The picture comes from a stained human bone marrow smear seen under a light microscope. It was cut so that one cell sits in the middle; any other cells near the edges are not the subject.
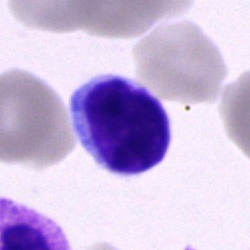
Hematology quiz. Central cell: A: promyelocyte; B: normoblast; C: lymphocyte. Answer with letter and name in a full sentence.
The correct choice is option C, which identifies the middle cell as a lymphocyte.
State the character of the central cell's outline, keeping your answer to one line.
Nothing juts out from the margin, which is smooth throughout.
